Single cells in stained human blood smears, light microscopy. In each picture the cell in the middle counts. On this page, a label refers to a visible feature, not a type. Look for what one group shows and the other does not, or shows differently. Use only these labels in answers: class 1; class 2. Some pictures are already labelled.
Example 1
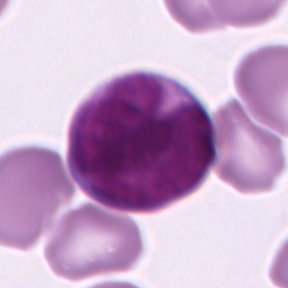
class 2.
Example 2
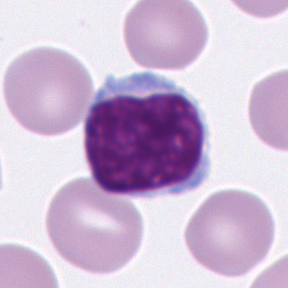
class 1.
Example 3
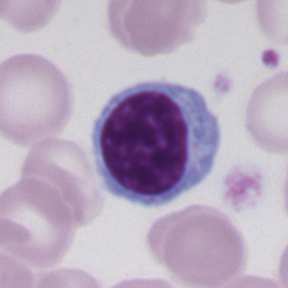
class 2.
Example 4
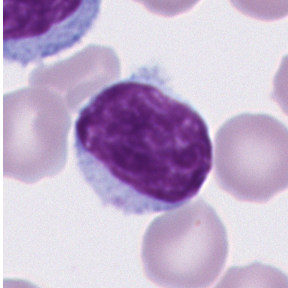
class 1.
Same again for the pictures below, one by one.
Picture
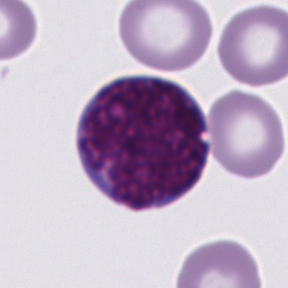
class 2.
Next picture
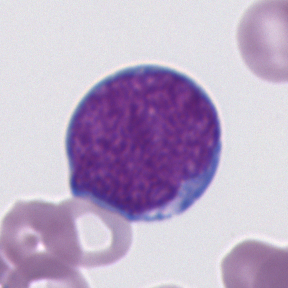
class 2.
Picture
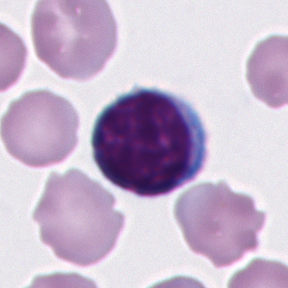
class 2.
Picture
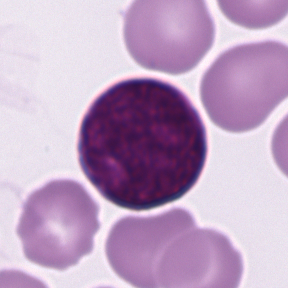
class 2.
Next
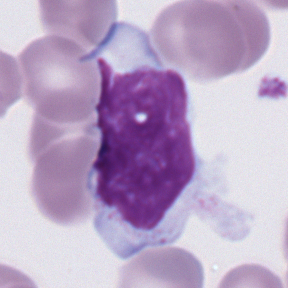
class 1.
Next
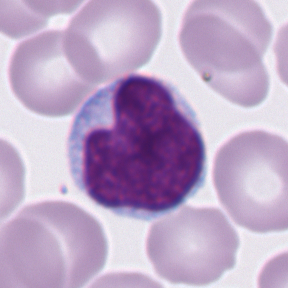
class 2.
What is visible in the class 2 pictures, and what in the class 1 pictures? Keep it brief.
In class 2: smooth outline. In class 1: ragged outline or projections.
